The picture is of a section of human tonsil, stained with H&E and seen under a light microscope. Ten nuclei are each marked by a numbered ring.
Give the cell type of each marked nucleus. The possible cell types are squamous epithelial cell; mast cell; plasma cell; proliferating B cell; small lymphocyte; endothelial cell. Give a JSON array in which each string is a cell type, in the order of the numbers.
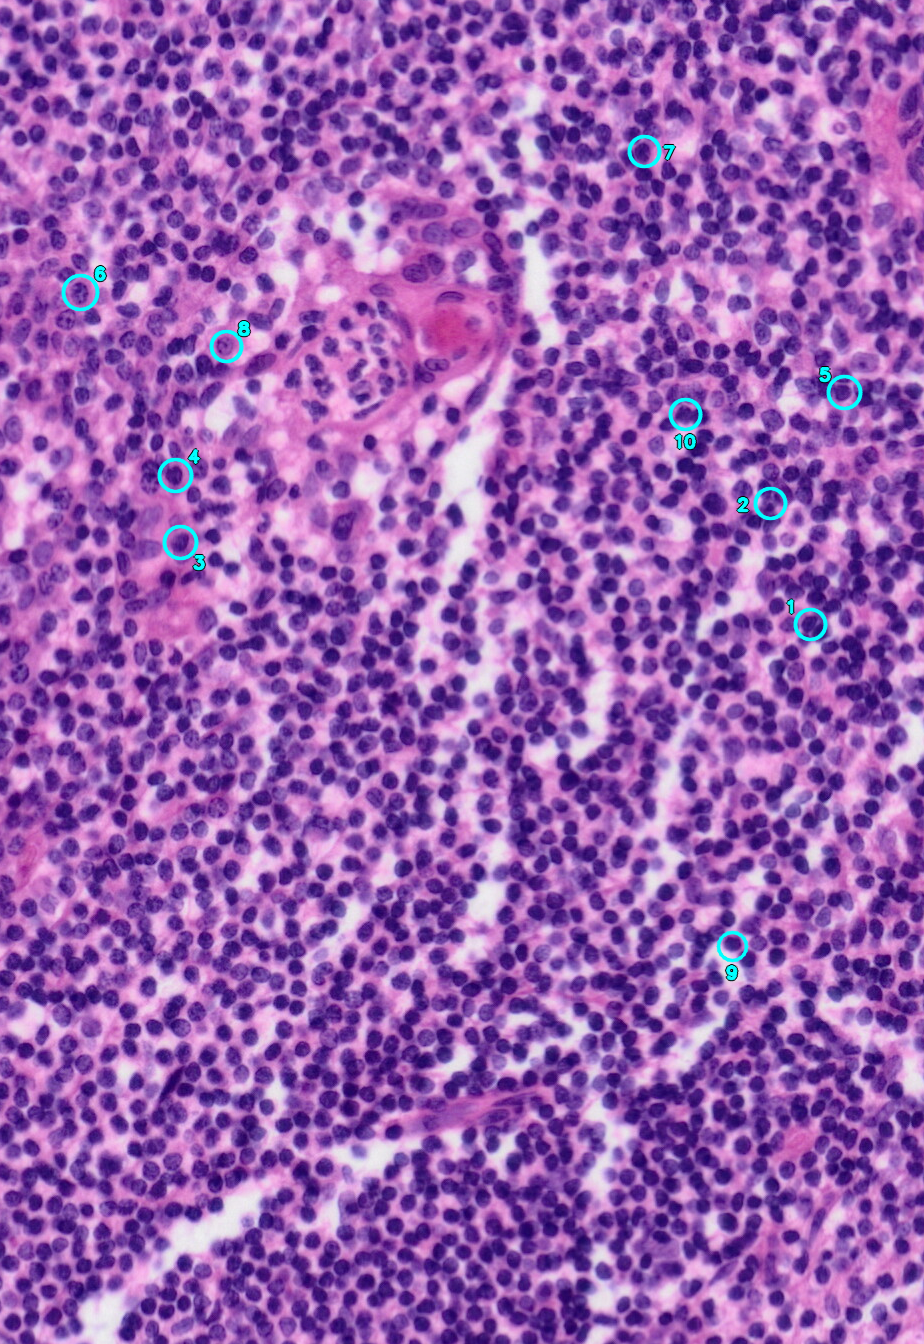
["small lymphocyte", "small lymphocyte", "endothelial cell", "plasma cell", "small lymphocyte", "plasma cell", "small lymphocyte", "plasma cell", "small lymphocyte", "small lymphocyte"]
